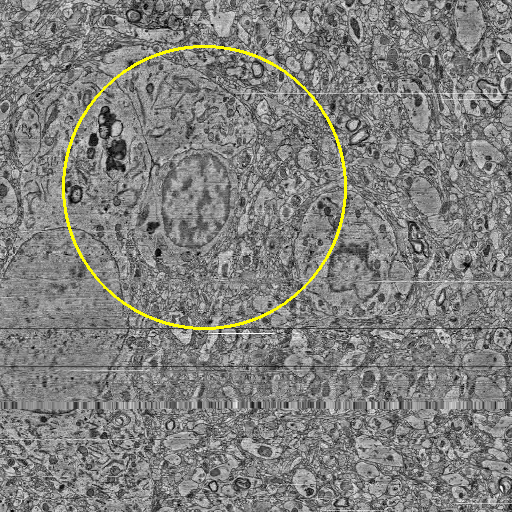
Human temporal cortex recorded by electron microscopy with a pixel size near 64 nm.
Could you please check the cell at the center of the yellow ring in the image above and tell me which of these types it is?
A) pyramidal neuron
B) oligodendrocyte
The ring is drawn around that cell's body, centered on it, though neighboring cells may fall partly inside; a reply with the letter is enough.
B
